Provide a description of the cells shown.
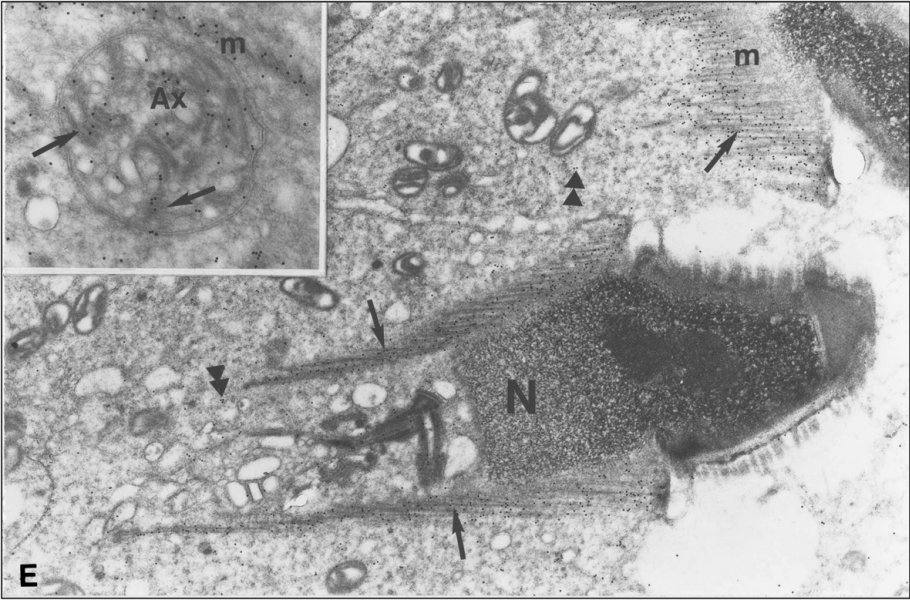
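An elongating spermatid is seen in section, with a dense, elongated nucleus capped at its front end and the bulk of the cytoplasm lying behind it. Long bundles of parallel microtubules, the manchette, run backwards from the base of the nucleus along both sides and are heavily dotted with black gold particles. The cytoplasm behind the nucleus holds the centriole region at the base of the flagellum, many small vesicles and several mitochondria, which carry few or no particles. An inset shows a cross-section of the flagellum with its axoneme surrounded by vesicles and a membrane, with scattered gold particles.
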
